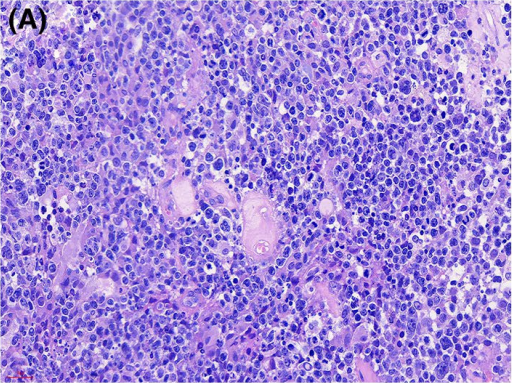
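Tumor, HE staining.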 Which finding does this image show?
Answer: a high nucleus to cytoplasm ratio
